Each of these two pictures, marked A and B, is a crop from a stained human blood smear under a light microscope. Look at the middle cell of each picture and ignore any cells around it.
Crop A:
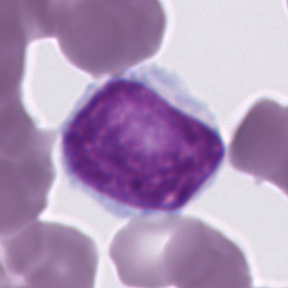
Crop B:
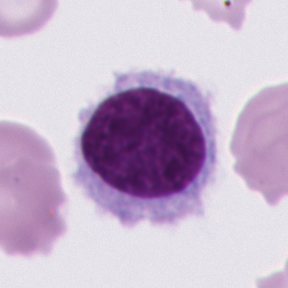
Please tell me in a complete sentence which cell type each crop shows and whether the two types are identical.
Yes, the central cells in both of the crops are hairy cells.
